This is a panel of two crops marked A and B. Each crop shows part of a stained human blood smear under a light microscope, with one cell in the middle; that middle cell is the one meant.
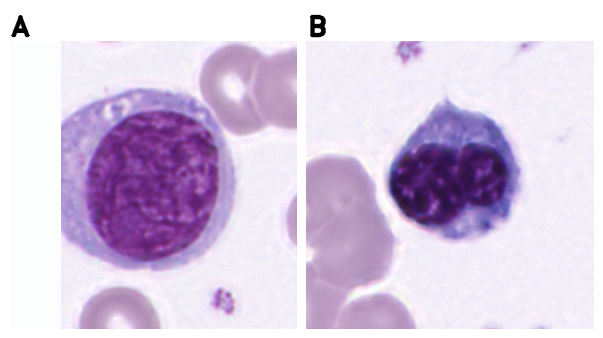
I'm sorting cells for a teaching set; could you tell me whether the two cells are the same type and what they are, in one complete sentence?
Yes, the crops both have plasma cells in the middle.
